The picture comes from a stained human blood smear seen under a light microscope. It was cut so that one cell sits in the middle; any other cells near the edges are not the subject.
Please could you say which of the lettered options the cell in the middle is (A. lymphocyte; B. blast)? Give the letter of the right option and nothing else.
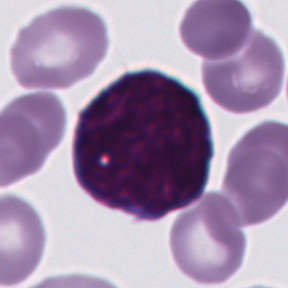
B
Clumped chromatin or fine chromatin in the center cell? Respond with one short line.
Take a look at the chromatin, which is coarsely clumped.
